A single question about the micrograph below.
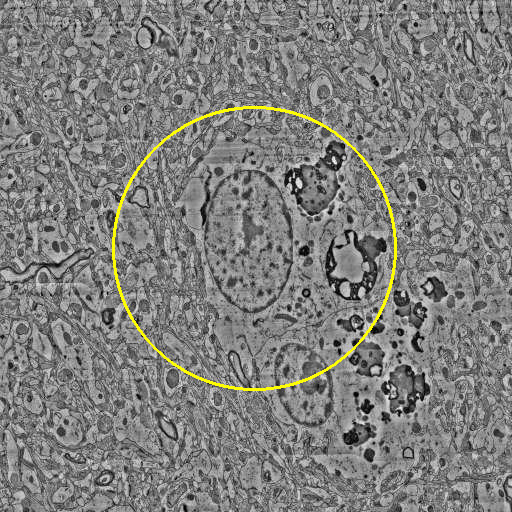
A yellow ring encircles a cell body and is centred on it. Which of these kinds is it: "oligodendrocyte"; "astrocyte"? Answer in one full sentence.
The cell body at the centre of the yellow ring belongs to an astrocyte.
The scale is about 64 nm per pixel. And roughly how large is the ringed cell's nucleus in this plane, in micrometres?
Clearly longer than it is wide in this plane, the nucleus measures roughly 9 by 6 micrometres.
